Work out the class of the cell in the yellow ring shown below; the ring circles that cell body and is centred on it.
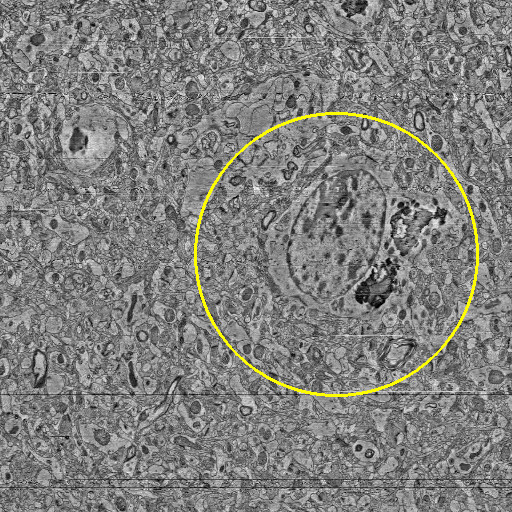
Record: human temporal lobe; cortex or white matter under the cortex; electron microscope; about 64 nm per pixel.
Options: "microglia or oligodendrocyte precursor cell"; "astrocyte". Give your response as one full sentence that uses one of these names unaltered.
The body ringed in yellow, right at the ring's centre, is that of an astrocyte.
